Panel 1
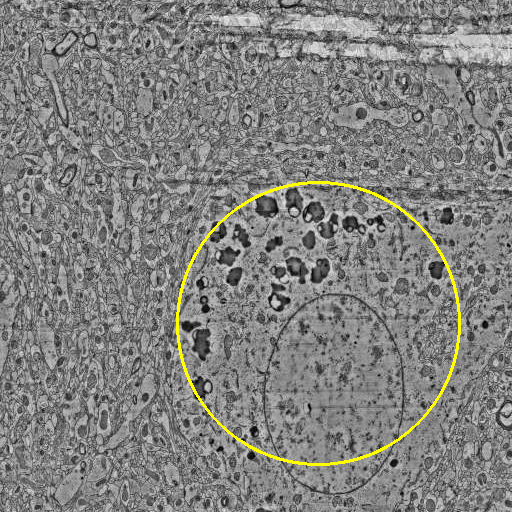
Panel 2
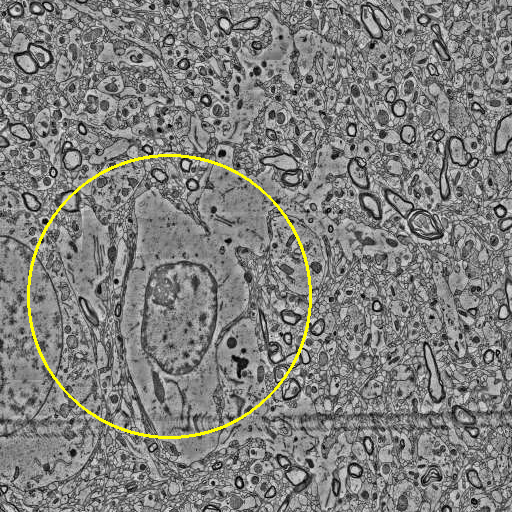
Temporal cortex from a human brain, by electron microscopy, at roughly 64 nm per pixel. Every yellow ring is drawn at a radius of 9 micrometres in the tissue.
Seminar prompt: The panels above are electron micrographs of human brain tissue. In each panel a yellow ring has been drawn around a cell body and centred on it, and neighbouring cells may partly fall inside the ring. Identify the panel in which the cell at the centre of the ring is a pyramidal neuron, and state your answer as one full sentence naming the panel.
Panel 1 has it at the centre of its ring.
